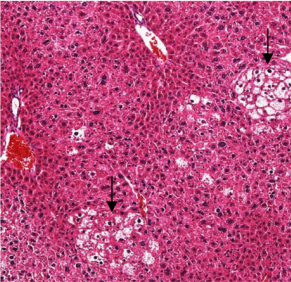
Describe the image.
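This is liver tissue made mostly of hepatocytes with dense pink cytoplasm and round, centrally placed dark nuclei, arranged in close plates. Scattered through it are small rounded foci of hepatocytes whose cytoplasm is pale and finely bubbly. These foci are much smaller than the field and sit within otherwise ordinary-looking tissue. Small vessels, some containing red blood cells, lie between the cell plates.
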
